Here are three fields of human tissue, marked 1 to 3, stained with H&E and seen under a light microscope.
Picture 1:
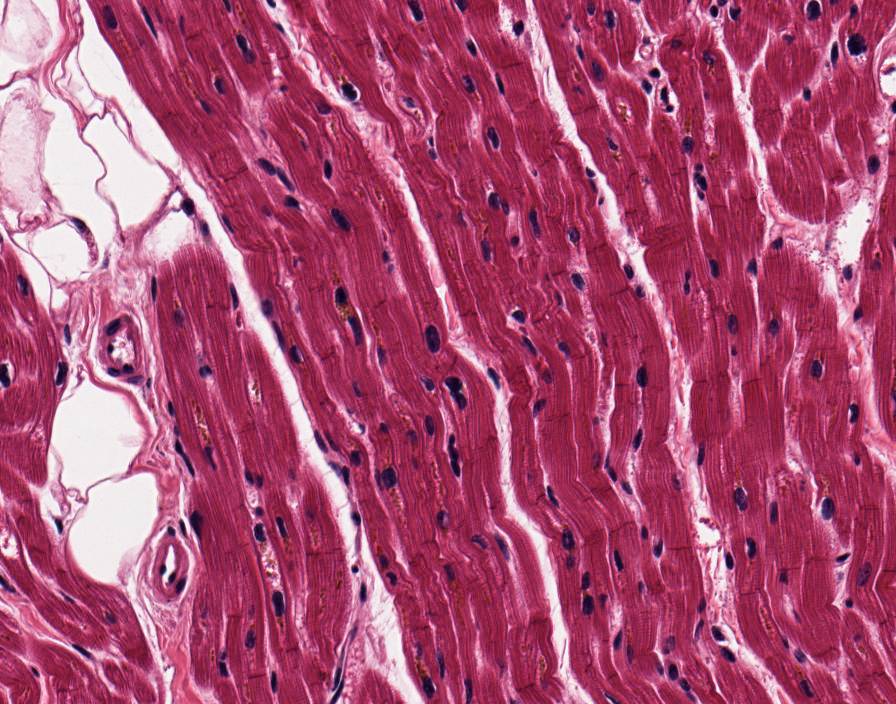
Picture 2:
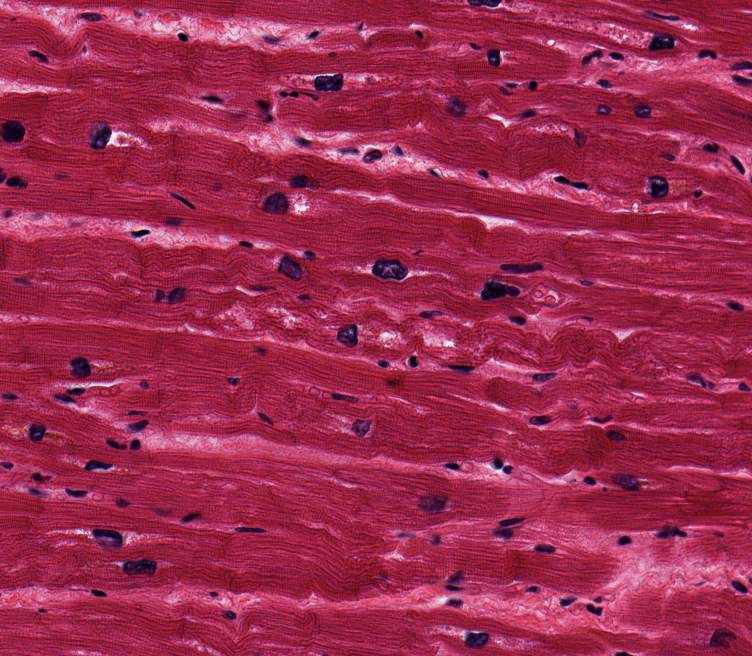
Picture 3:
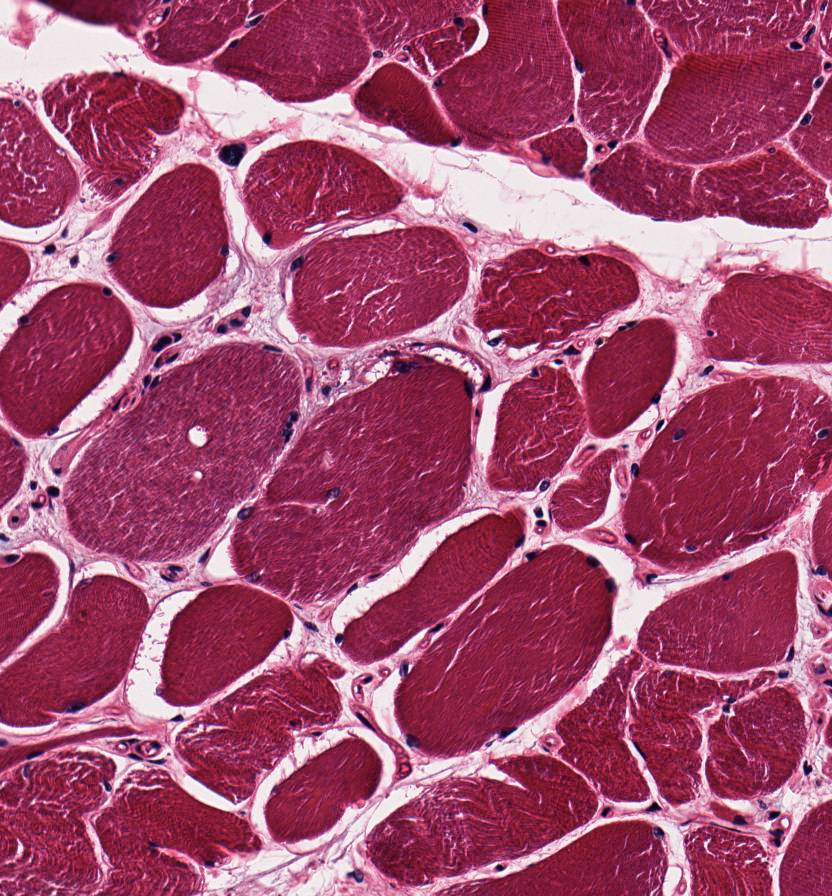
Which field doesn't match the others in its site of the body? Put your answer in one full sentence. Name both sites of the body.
Unlike the rest, which come from the left ventricle of the heart, picture 3 comes from skeletal muscle.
